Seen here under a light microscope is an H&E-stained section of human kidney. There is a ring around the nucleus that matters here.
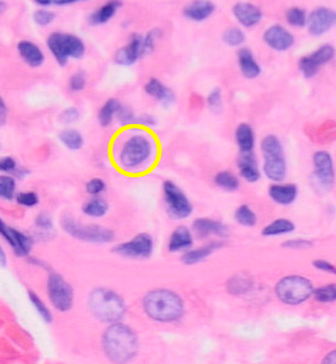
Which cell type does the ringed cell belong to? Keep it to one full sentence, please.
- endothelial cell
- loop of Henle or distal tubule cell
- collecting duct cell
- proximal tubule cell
In short, the ringed cell on this section is an endothelial cell.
